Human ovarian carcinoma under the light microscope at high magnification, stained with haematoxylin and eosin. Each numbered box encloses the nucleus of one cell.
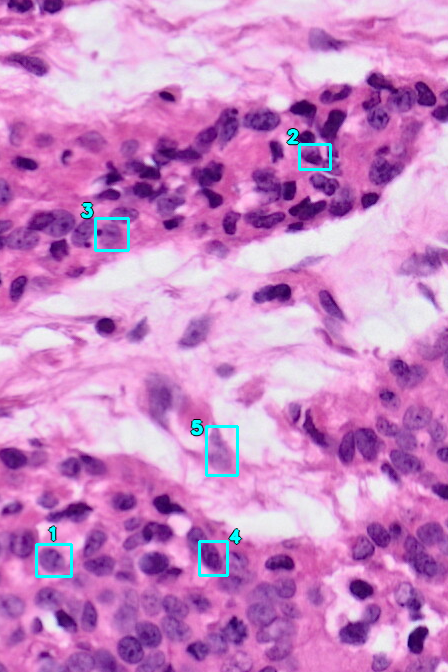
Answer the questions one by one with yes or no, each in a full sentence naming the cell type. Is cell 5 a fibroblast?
Yes, the cell distinguished by number 5 is a fibroblast.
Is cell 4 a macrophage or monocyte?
No, cell 4 is identified not as a macrophage or monocyte but as a carcinoma cell.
